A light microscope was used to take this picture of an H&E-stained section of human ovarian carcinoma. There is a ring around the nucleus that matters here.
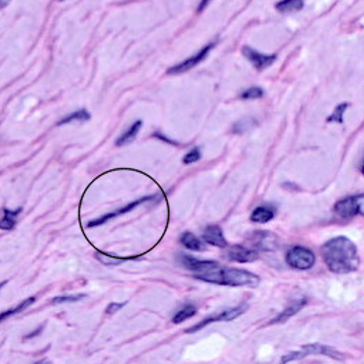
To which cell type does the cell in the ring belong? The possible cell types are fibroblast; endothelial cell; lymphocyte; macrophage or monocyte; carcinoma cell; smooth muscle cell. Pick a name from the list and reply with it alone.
fibroblast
